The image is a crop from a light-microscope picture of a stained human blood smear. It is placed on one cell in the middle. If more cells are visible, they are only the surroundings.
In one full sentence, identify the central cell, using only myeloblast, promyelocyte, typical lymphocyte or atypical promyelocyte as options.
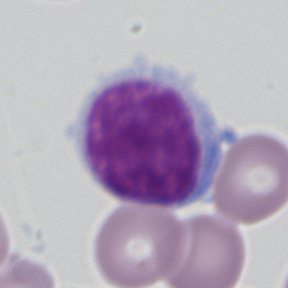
The middle position in this crop is taken by a typical lymphocyte.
